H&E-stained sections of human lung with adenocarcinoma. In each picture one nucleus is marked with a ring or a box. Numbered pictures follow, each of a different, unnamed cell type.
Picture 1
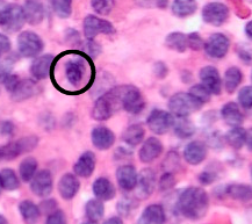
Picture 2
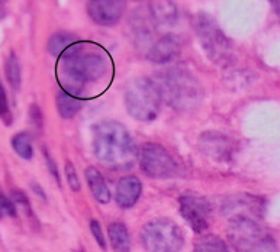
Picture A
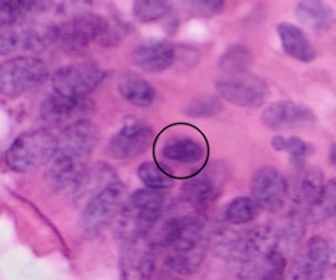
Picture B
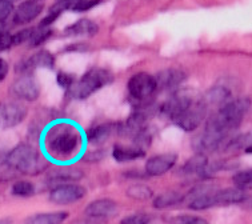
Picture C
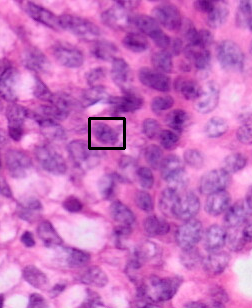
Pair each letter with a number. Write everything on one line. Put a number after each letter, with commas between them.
A 2, B 2, C 2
